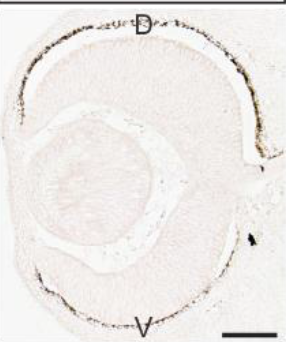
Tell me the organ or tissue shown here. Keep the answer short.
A: Retina.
